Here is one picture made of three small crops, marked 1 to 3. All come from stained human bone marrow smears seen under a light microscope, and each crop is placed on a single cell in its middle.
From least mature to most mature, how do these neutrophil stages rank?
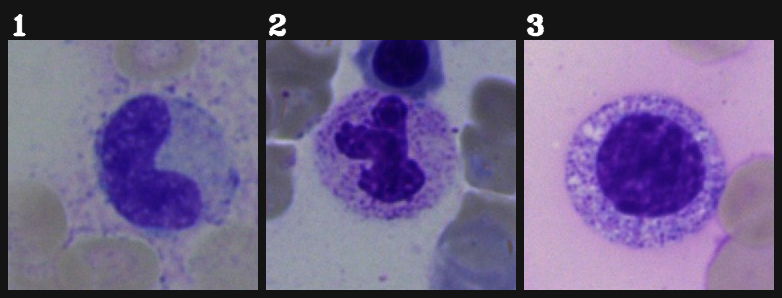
3, 1, 2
